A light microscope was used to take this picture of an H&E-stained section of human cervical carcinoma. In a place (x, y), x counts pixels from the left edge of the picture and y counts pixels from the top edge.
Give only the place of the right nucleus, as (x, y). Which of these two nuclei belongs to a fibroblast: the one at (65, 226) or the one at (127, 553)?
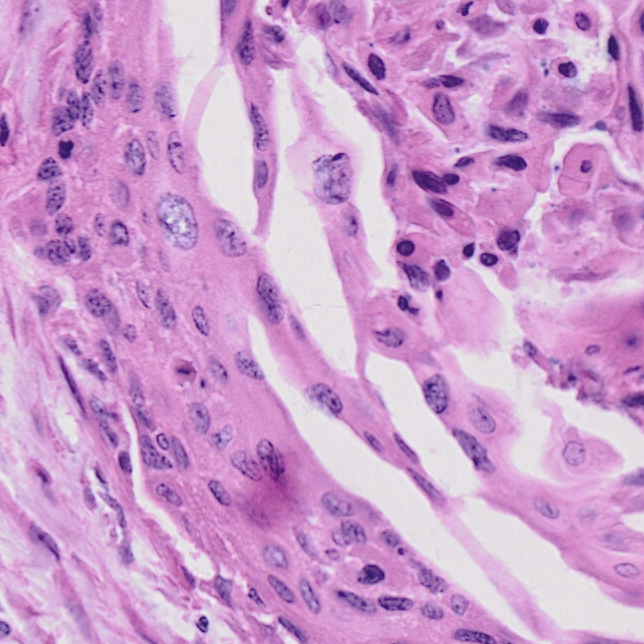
(127, 553)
